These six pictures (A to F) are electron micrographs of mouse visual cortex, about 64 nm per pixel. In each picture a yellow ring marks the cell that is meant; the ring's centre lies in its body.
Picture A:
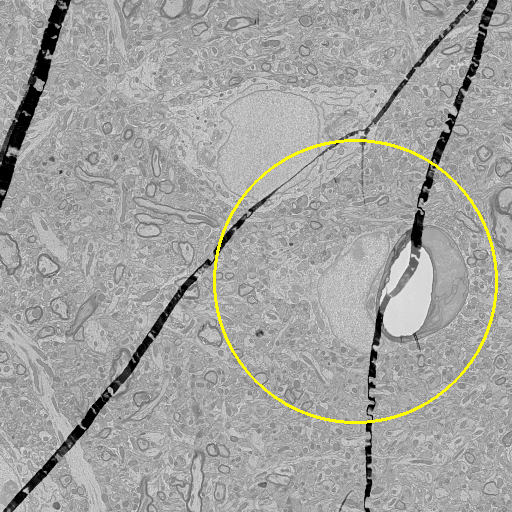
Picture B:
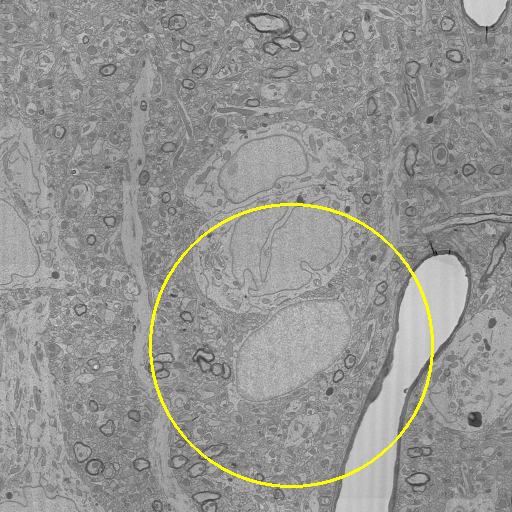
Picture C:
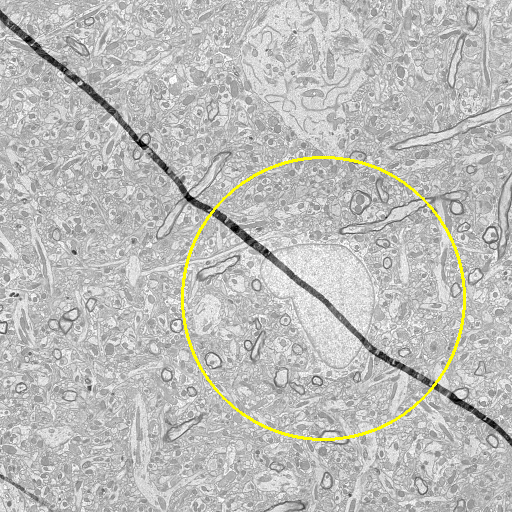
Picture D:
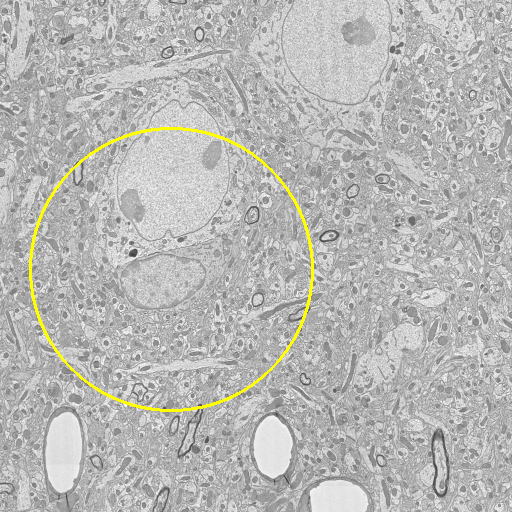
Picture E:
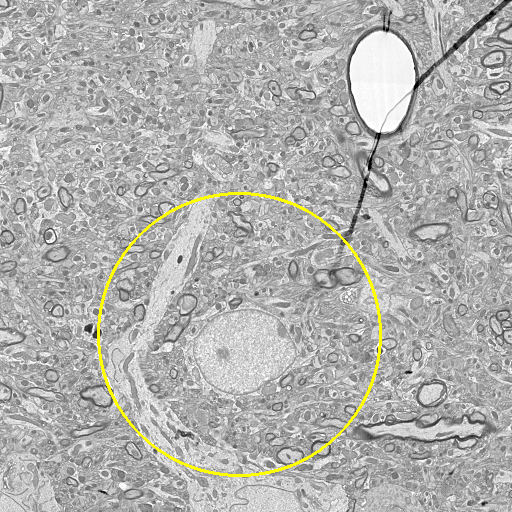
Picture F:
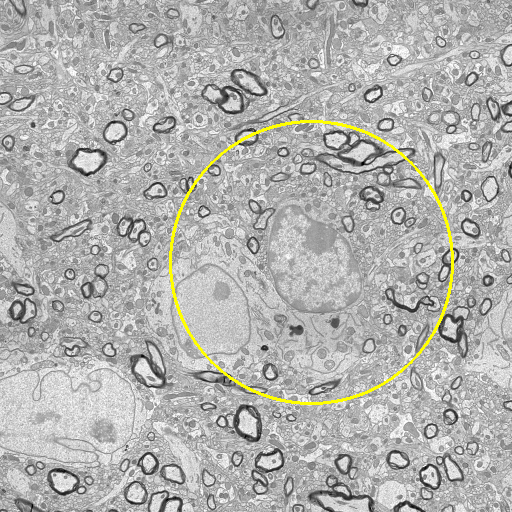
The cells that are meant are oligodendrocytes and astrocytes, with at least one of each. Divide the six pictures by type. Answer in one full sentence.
Pictures D and F show oligodendrocytes; pictures A, B, C and E show astrocytes.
